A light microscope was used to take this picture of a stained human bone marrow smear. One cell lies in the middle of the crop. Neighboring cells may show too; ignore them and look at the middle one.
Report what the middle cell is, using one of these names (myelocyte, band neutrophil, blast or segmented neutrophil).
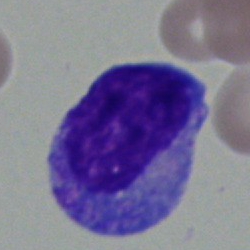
myelocyte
